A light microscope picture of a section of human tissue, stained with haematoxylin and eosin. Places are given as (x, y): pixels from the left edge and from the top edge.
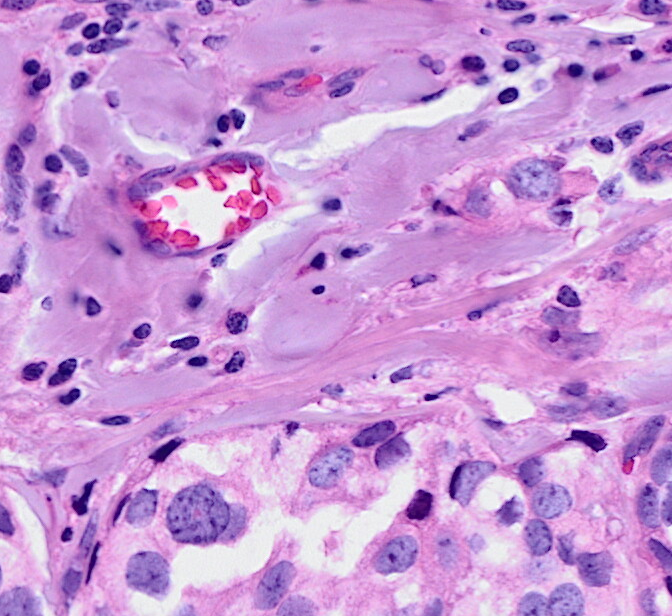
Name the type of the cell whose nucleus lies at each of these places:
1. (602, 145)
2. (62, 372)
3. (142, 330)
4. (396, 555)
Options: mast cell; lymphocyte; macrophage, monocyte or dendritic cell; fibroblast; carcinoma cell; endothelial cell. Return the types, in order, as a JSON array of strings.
["lymphocyte", "lymphocyte", "lymphocyte", "carcinoma cell"]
